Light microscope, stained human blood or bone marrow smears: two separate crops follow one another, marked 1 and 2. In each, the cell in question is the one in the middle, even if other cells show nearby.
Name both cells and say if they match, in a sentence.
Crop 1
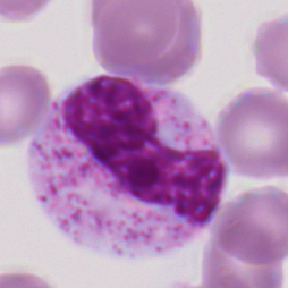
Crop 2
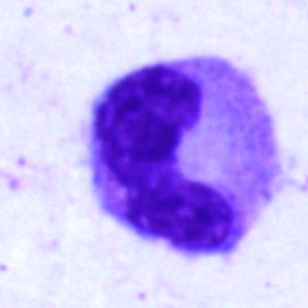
Yes, the centre cells of both crops are band neutrophils.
